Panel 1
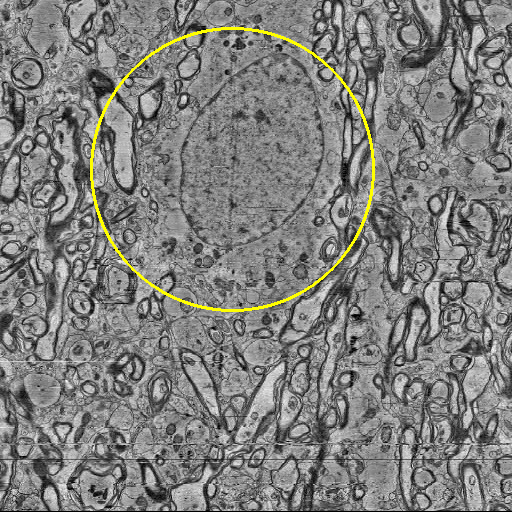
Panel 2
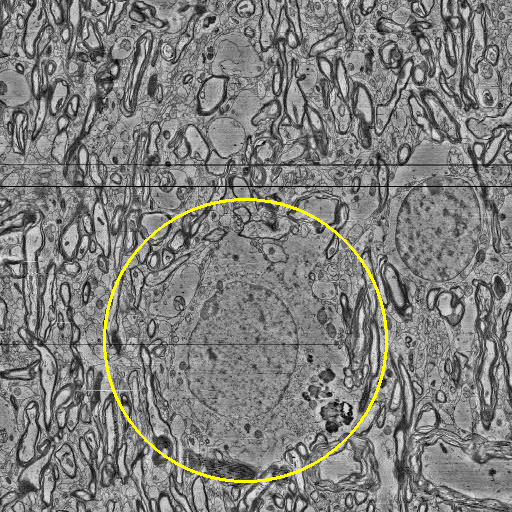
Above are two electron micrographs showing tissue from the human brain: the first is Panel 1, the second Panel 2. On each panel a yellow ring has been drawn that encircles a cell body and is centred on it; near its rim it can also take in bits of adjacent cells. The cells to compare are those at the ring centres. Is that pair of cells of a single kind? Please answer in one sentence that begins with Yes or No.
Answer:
Yes, the ring-centred cells of Panel 1 and Panel 2 belong to one kind.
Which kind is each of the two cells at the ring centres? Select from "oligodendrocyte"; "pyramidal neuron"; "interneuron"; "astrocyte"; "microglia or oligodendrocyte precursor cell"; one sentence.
In each of the two pictures, the ringed cell is an astrocyte.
